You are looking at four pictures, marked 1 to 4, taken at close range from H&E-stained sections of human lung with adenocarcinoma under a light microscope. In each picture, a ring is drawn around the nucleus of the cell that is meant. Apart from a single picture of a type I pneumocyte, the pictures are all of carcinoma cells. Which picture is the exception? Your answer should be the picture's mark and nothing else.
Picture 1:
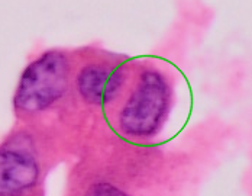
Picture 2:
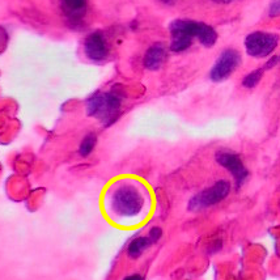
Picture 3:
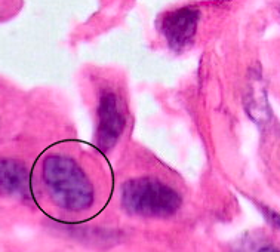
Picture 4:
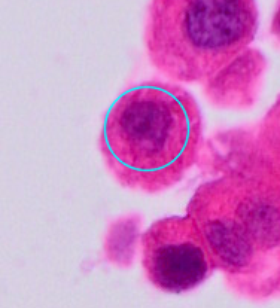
2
